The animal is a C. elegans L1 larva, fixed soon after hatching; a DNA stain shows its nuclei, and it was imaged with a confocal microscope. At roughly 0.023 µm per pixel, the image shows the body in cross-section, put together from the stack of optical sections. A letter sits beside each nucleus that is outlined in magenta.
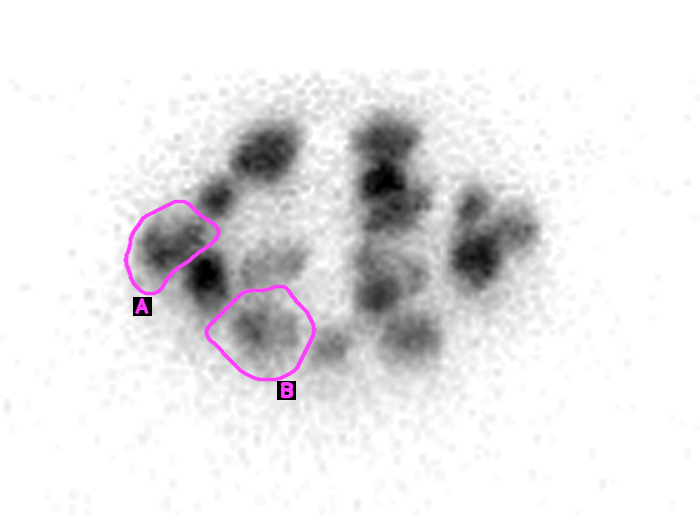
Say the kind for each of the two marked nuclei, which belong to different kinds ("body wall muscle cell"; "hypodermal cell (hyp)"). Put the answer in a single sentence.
A is from a hypodermal cell (hyp), and B is from a body wall muscle cell.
